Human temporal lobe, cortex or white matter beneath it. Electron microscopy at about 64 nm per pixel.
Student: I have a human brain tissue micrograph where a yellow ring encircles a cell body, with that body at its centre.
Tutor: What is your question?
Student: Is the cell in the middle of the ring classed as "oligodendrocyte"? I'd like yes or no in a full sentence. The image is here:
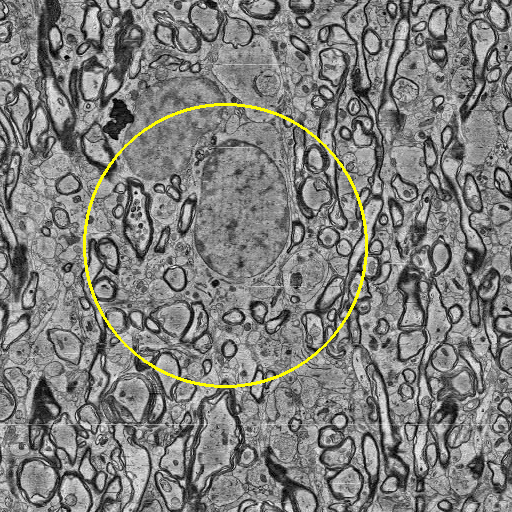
No, the ringed cell in the middle counts as another kind.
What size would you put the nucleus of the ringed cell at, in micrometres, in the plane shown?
The nucleus is approximately 9 micrometers long by 7 micrometers wide in this plane.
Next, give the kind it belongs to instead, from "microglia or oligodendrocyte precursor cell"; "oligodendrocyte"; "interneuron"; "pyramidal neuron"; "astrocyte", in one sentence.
That cell in the ring is a microglial cell or oligodendrocyte precursor cell instead.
